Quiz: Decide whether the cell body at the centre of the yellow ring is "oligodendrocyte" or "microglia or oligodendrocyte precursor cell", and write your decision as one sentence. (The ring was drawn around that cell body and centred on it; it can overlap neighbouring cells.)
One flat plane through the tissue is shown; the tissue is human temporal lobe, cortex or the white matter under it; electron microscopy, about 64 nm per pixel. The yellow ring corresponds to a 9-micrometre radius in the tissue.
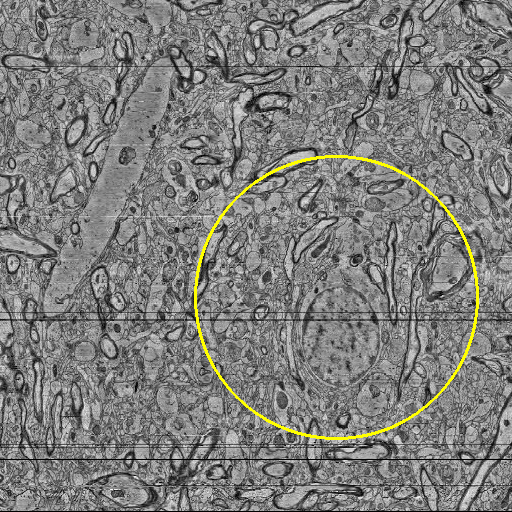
The cell the ring is centred on is a microglial cell or oligodendrocyte precursor cell.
